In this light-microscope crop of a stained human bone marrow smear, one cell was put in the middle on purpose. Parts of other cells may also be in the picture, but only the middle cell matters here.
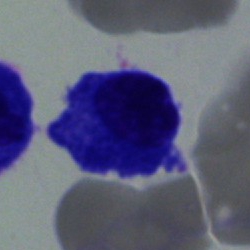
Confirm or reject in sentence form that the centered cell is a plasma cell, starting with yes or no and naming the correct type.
Yes, the cell in the center of the field is a plasma cell.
